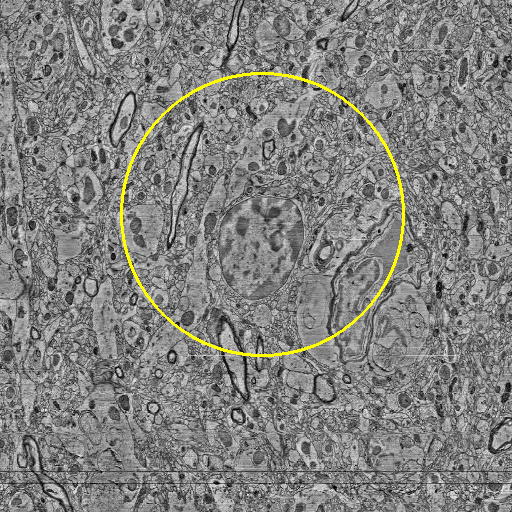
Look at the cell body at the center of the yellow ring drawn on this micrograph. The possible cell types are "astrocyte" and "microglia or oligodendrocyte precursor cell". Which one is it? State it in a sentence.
The cell in the middle of the ring is a microglial cell or oligodendrocyte precursor cell.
